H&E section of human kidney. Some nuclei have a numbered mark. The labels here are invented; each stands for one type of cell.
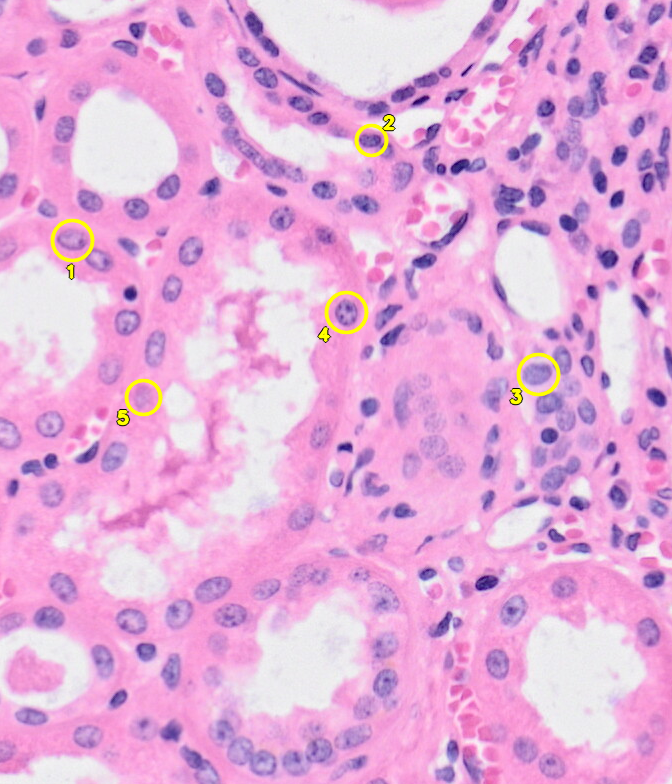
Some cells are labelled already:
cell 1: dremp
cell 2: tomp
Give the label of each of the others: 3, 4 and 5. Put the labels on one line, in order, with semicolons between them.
tomp; dremp; dremp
